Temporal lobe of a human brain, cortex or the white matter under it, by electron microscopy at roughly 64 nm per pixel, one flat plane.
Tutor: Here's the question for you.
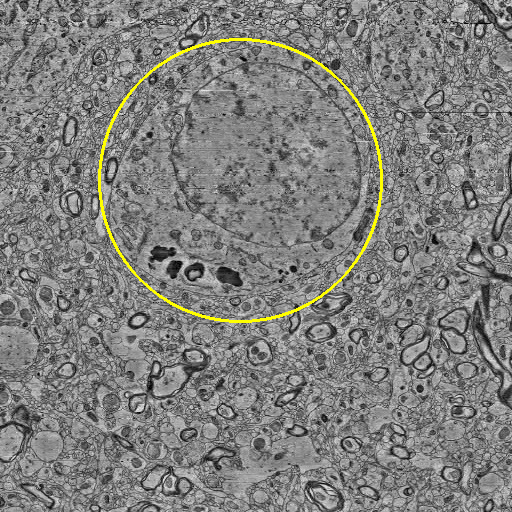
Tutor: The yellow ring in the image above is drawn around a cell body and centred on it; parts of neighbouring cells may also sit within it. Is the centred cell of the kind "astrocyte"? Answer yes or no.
no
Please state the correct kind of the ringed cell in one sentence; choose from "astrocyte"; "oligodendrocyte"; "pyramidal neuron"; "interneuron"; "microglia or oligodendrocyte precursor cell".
Instead, the cell at the centre of the yellow ring is a pyramidal neuron.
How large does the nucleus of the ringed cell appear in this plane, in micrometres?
About 12 micrometers across, in this plane.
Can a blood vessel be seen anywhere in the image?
No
